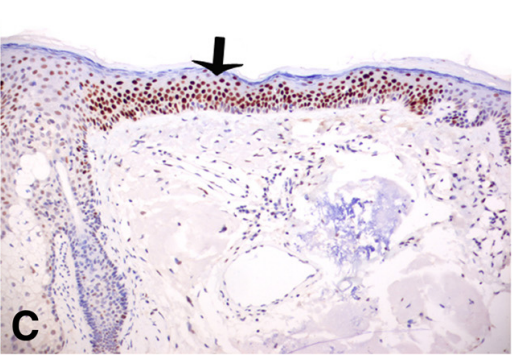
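The epidermis of skin is seen as a band of keratinocytes in which many nuclei across the lower and middle layers are stained dark brown, while the upper layers and dermal cells remain mostly blue. The stained nuclei are round to oval and packed closely along a continuous stretch of the epidermis. The dermis below is pale with scattered blue nuclei of stromal cells and a hair follicle-like epithelial structure at the left edge.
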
